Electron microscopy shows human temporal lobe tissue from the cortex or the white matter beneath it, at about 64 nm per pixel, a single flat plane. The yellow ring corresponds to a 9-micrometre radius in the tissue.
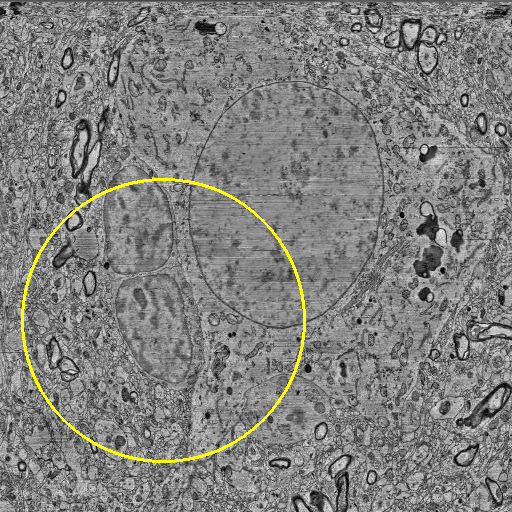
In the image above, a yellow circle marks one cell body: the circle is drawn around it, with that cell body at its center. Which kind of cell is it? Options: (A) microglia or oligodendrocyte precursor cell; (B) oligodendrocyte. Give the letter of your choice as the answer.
B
